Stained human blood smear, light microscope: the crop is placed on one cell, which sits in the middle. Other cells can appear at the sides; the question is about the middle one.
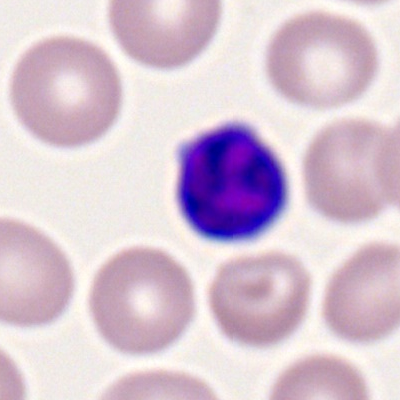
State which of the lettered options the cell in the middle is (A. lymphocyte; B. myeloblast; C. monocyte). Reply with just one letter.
A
